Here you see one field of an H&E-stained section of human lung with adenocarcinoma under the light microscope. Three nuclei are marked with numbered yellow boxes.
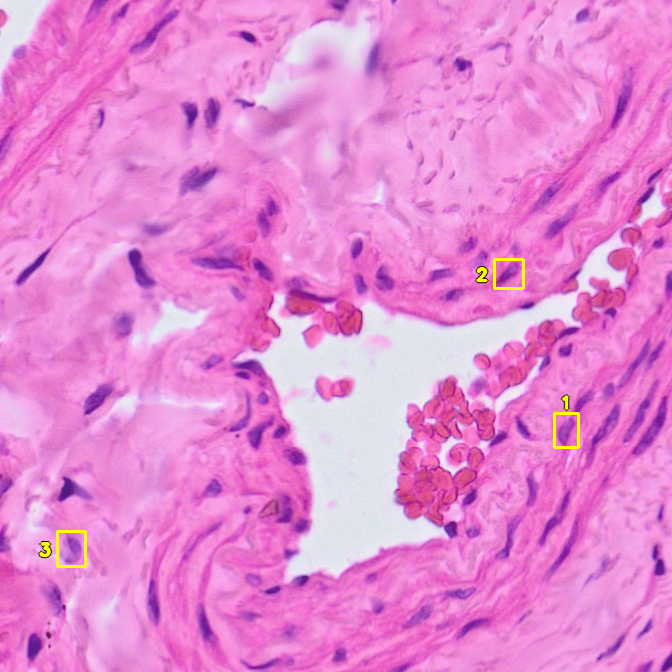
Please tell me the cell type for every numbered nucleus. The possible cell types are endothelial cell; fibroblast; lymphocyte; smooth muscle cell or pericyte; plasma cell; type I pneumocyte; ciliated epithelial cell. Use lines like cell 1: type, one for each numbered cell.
cell 1: smooth muscle cell or pericyte
cell 2: smooth muscle cell or pericyte
cell 3: fibroblast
